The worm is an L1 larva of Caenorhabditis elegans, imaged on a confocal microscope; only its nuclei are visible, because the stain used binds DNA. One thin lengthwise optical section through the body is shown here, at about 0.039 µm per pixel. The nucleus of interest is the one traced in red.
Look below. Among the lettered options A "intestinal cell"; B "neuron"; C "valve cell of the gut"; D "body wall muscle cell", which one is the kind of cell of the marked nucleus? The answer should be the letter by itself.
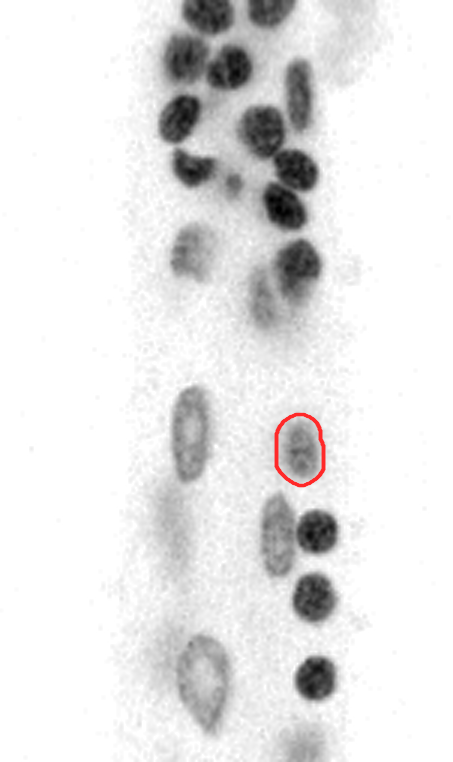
D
